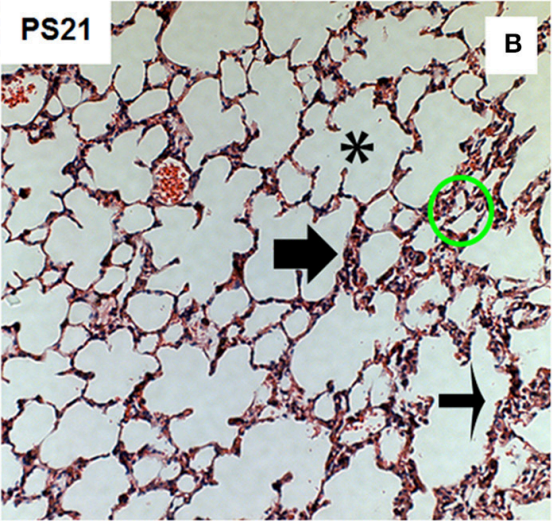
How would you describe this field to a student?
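This is lung parenchyma in which the alveolar walls, pink with dark purple nuclei, vary much in thickness: some are thin, others are thickened and crowded with nuclei. In places the nuclei cluster densely in the interstitium, which fits a cellular infiltrate. Some airspaces are much larger than the others, with broken wall ends jutting into them, which points to alveolar rupture. Elsewhere the airspaces are squeezed shut into compact tissue, as in alveolar collapse, and a vessel filled with red blood cells lies to the upper left.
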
